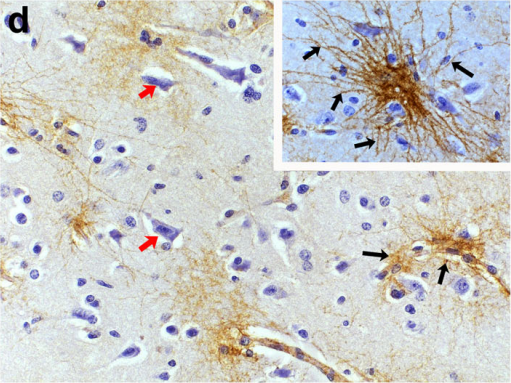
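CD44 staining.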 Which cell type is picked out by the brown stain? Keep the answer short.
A: astrocytes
